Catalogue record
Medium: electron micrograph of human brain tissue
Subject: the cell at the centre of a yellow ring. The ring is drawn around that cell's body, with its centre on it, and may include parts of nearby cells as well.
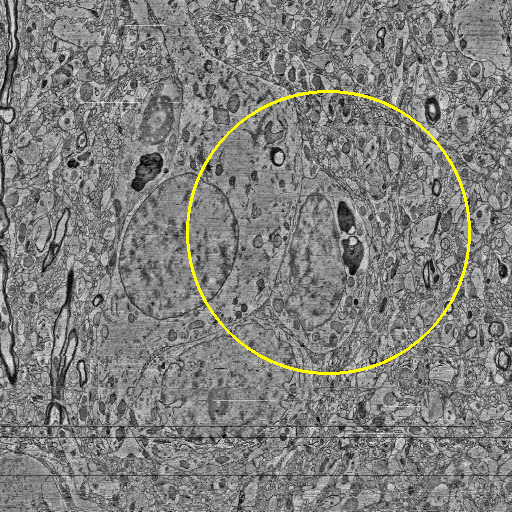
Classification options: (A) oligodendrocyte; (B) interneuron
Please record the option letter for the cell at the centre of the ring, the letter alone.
B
